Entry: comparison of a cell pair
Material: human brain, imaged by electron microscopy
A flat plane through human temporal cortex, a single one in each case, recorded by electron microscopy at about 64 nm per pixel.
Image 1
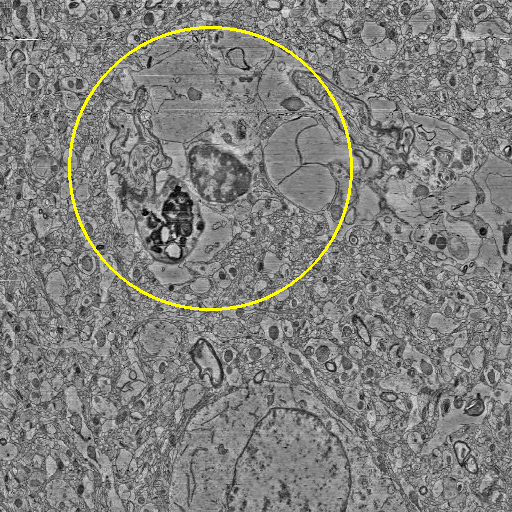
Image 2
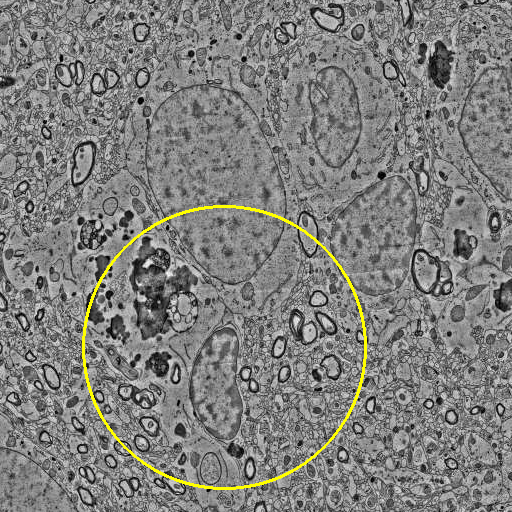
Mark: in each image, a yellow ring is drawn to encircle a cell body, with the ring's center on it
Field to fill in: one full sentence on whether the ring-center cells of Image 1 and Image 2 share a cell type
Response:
Yes, Image 1 and Image 2 each show a ring-center cell of one shared type.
